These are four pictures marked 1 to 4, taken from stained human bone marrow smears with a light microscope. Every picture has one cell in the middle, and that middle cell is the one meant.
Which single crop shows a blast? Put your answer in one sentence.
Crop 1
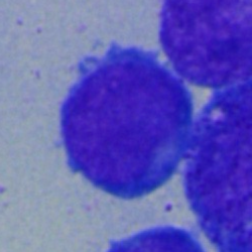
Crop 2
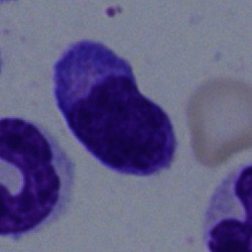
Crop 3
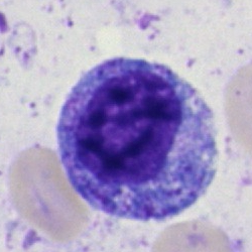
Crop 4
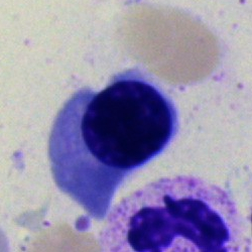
The crop carrying a blast at the center is crop 1.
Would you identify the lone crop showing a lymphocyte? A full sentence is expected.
Among these crops, crop 2 holds a lymphocyte.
